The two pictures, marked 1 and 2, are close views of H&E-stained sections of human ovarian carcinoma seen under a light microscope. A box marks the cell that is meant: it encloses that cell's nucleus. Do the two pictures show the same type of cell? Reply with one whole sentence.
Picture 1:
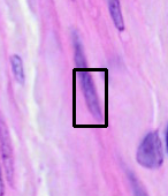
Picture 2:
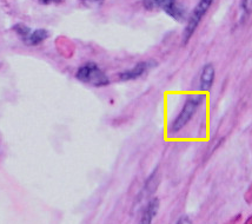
No, the types are not the same, since picture 1 shows a smooth muscle cell and picture 2 a fibroblast.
